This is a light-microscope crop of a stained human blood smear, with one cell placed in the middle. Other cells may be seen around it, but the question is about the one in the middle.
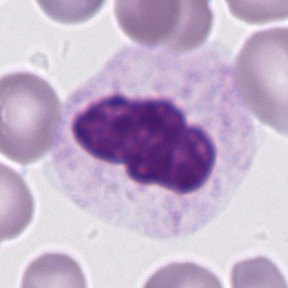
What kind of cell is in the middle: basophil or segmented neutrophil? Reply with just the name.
segmented neutrophil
